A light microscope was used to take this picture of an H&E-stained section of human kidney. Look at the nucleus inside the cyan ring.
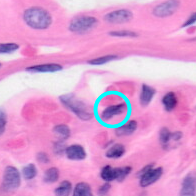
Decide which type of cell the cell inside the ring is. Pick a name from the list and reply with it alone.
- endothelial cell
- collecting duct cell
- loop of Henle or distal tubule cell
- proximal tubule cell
endothelial cell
